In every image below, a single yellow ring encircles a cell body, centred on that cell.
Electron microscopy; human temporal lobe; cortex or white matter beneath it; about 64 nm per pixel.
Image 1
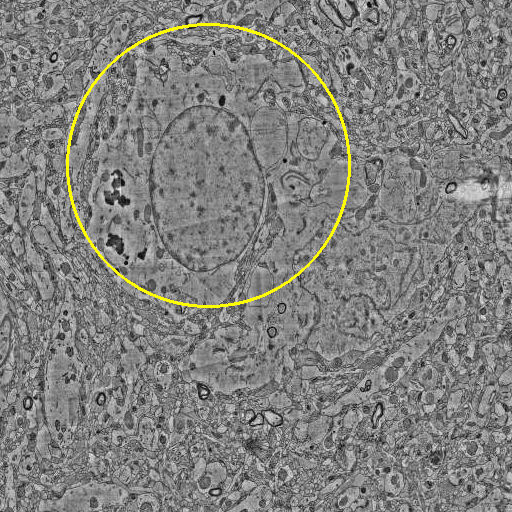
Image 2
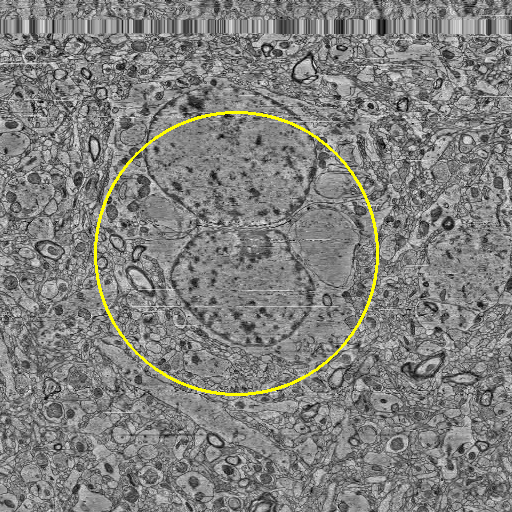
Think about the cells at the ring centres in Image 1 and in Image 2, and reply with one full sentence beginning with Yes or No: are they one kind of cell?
Yes, the cells centred in the rings of Image 1 and Image 2 are one kind of cell.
